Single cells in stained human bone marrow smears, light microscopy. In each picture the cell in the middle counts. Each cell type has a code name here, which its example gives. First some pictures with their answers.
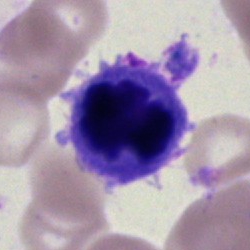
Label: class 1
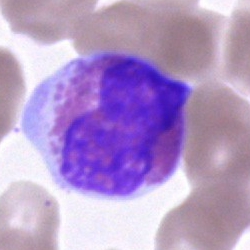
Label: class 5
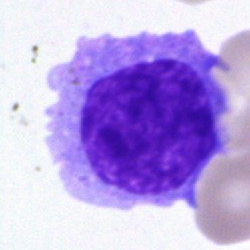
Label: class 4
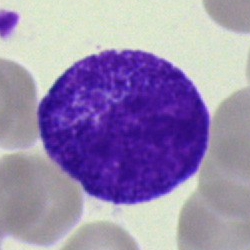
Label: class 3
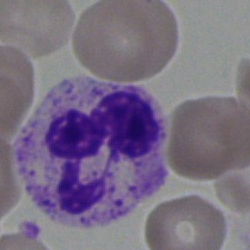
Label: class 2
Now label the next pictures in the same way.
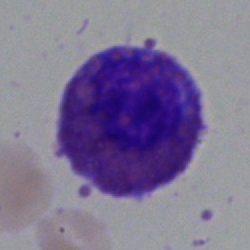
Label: class 5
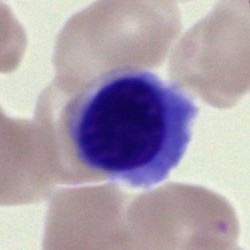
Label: class 1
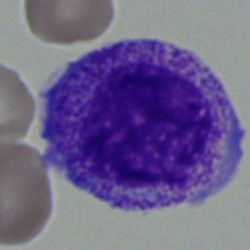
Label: class 3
